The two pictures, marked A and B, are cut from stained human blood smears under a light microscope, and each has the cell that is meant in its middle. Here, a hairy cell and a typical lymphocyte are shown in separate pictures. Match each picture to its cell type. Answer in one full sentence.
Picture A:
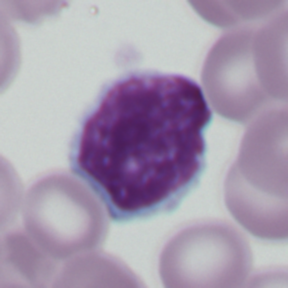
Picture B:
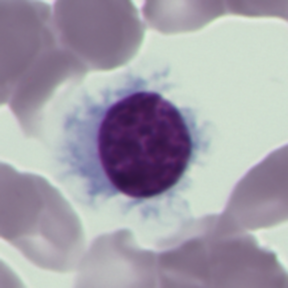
In picture A the cell is a typical lymphocyte; in picture B, a hairy cell.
